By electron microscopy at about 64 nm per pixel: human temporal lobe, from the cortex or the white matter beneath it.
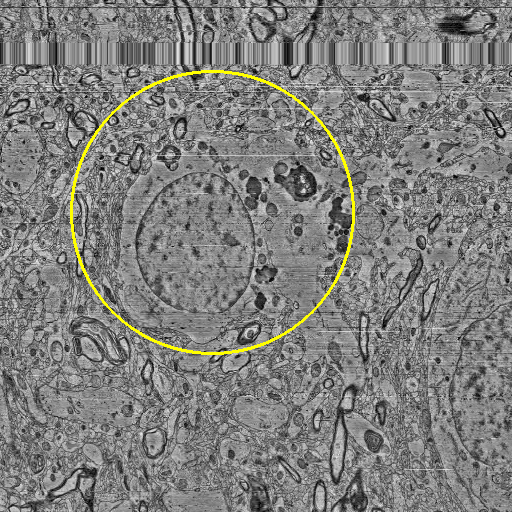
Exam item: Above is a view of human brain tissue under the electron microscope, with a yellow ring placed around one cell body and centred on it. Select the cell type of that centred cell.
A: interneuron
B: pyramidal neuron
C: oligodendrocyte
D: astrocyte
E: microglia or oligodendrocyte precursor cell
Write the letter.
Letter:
D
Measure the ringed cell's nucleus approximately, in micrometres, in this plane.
In this plane, about 9 micrometres in length and 8 in width.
